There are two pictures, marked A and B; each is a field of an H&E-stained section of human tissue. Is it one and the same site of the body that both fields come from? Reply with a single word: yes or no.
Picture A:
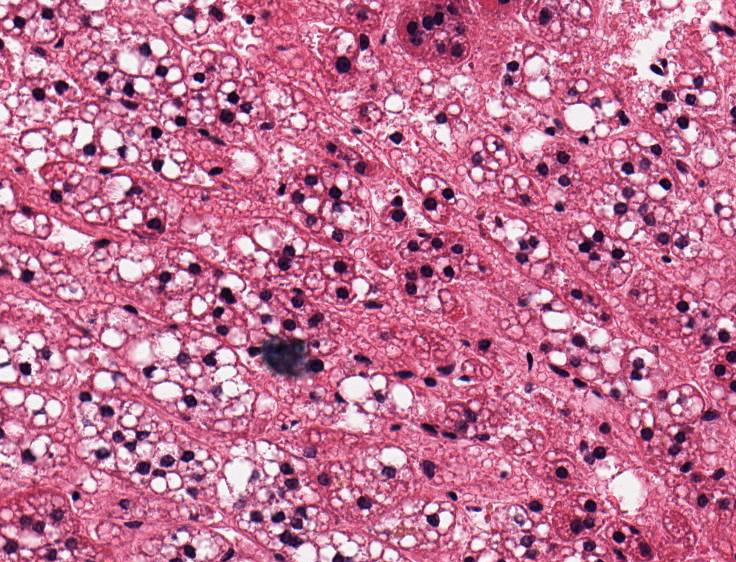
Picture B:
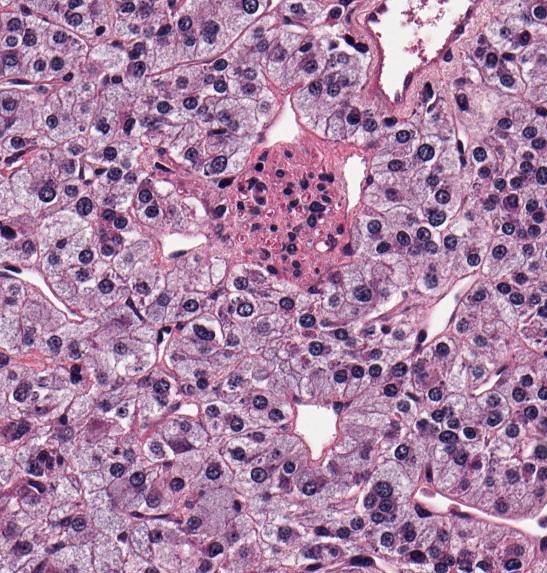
yes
